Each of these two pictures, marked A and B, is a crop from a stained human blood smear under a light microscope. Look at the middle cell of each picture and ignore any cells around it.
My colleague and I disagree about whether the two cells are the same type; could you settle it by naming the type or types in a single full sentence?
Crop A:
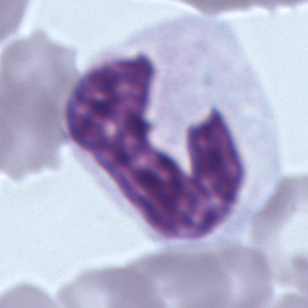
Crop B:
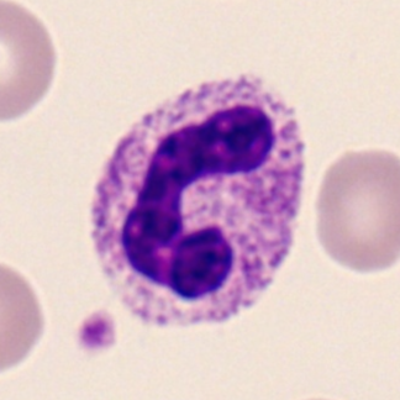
Yes, both crops show band neutrophils, with no exception.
